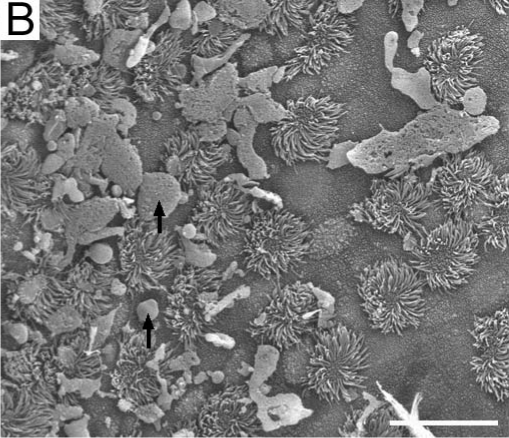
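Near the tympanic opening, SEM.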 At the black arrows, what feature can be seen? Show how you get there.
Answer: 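The arrows point to small smooth rounded blobs on the surface. Similar smooth irregular sheets and globules lie scattered over the epithelium.
Hence: mucus drops.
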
